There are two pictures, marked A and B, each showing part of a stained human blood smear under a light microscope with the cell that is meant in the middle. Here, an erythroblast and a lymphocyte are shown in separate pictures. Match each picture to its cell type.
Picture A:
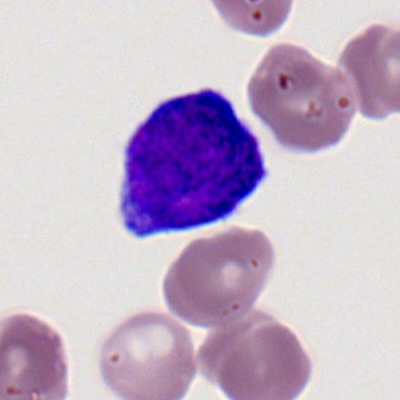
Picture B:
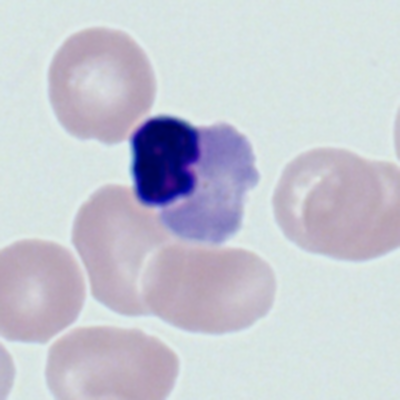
A: lymphocyte
B: erythroblast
